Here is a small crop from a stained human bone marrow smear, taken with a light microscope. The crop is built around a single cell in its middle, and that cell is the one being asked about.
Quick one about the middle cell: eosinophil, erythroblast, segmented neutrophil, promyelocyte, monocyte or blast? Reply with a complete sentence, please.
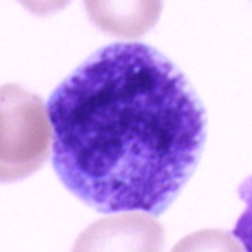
At the middle of the frame sits a promyelocyte.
